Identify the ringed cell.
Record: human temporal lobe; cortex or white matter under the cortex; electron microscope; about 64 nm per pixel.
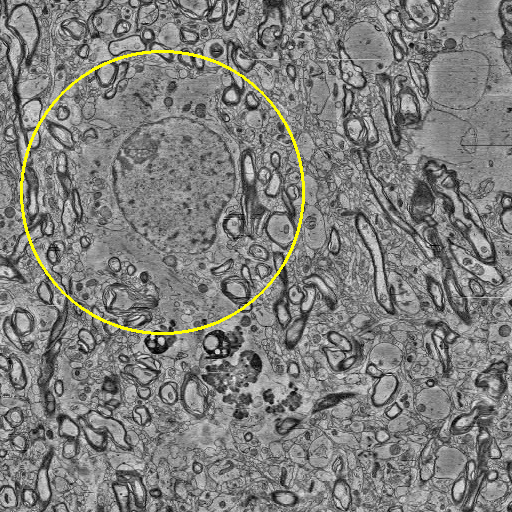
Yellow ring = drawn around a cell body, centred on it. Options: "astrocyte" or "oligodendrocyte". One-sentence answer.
What the ring is centred on is an astrocyte.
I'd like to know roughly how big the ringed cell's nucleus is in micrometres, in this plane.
The ringed cell's nucleus is about 8 micrometres across in this plane.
